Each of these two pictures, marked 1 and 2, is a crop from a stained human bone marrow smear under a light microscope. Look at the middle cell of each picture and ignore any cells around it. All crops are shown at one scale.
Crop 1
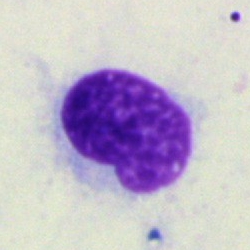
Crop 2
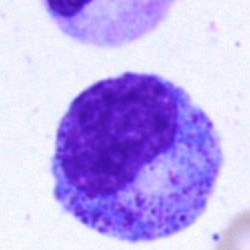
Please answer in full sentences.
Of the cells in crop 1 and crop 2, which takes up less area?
The cell in crop 1 is smaller; the one in crop 2 has about 1.5 times its area.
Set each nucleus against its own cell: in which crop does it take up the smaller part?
It is the cell in crop 2 that is filled less by its nucleus.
